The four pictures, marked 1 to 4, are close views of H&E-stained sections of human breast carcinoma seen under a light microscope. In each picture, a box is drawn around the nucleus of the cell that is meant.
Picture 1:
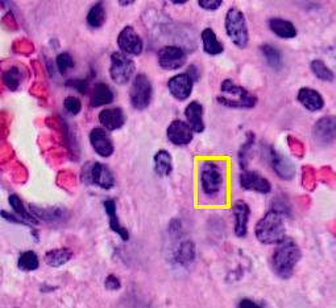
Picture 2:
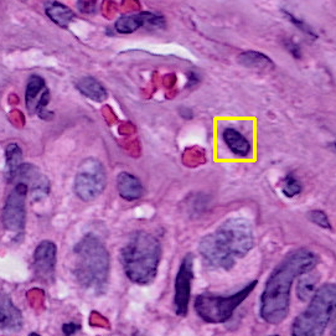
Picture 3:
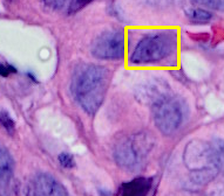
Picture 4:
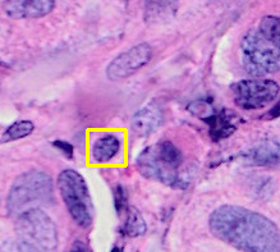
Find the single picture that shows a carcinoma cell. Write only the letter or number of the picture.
3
